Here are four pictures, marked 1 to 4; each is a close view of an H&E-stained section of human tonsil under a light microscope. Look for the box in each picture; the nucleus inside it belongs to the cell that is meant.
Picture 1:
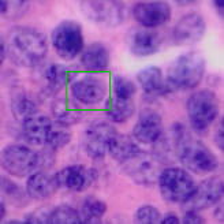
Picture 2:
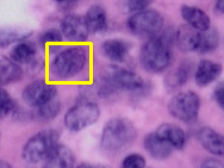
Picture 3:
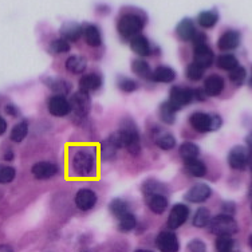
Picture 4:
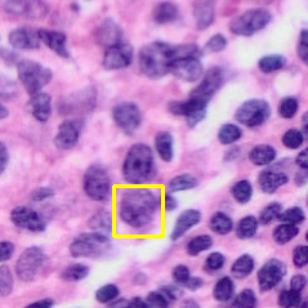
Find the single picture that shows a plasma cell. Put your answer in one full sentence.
The plasma cell is the one in picture 3.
